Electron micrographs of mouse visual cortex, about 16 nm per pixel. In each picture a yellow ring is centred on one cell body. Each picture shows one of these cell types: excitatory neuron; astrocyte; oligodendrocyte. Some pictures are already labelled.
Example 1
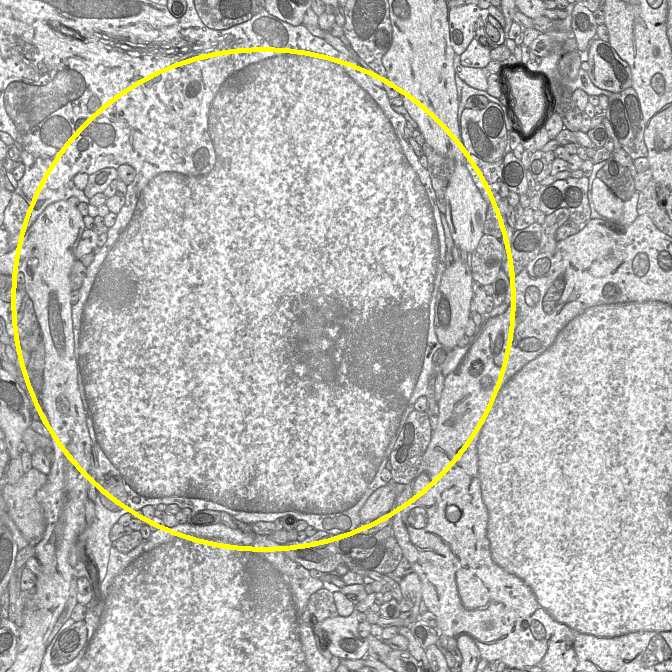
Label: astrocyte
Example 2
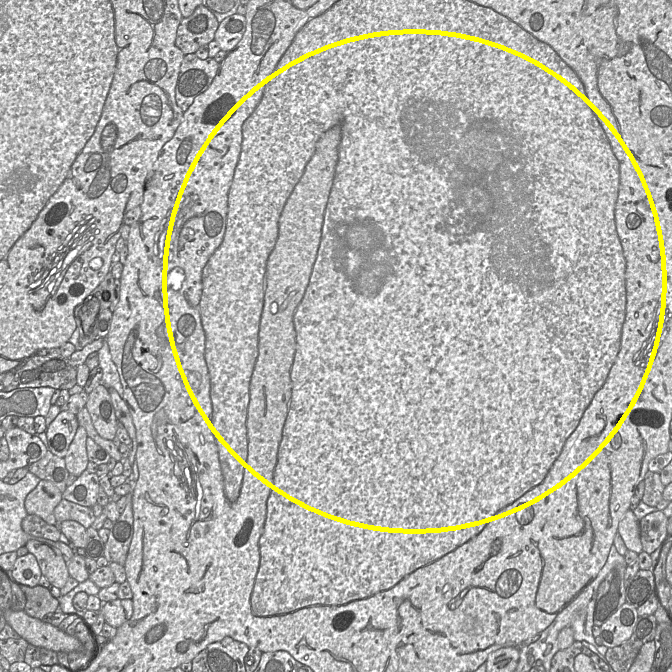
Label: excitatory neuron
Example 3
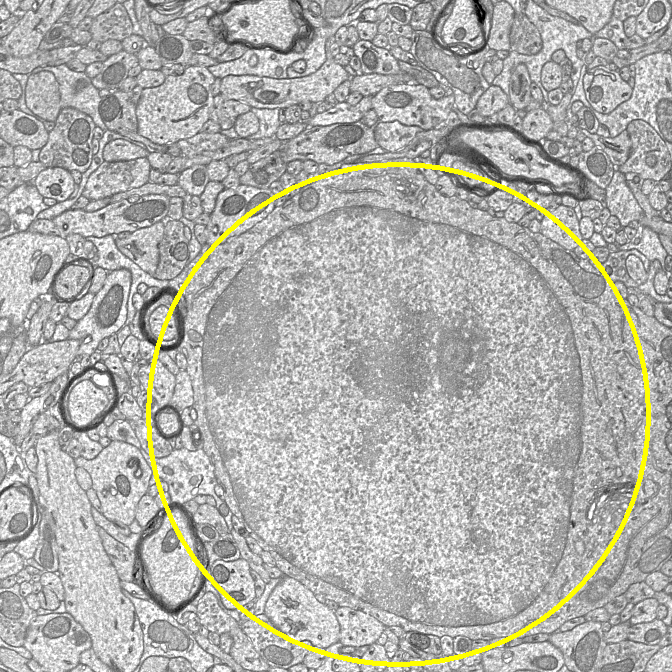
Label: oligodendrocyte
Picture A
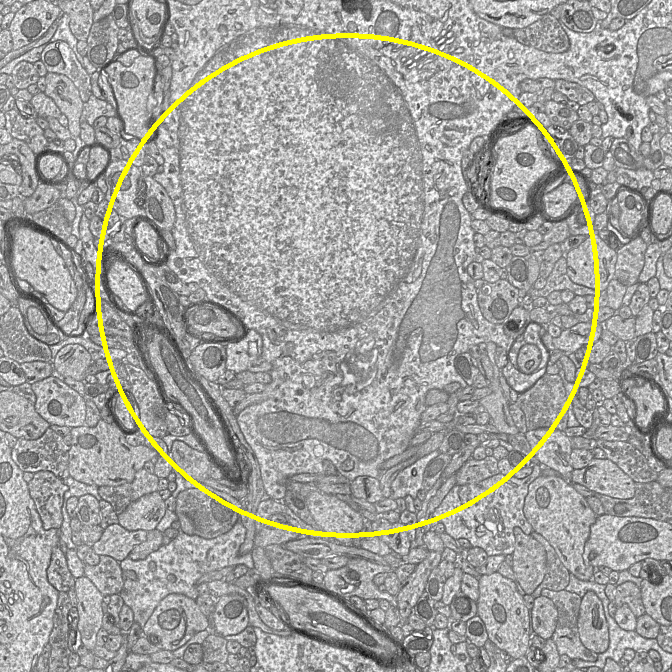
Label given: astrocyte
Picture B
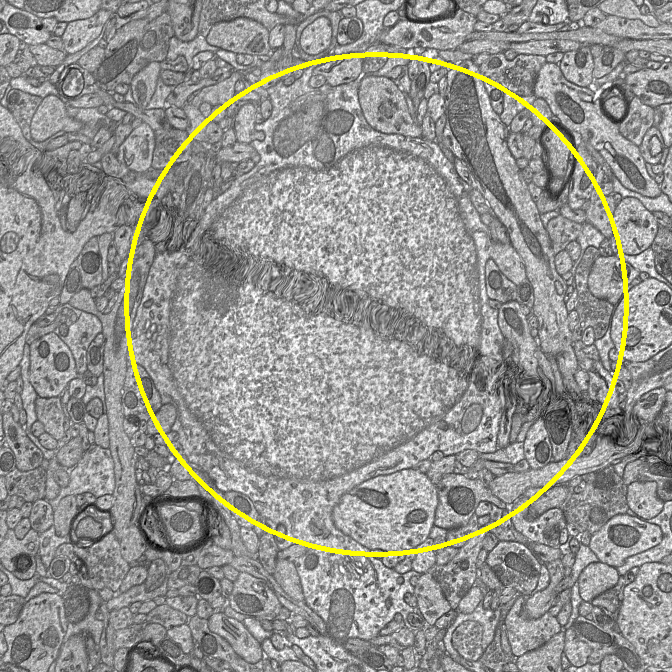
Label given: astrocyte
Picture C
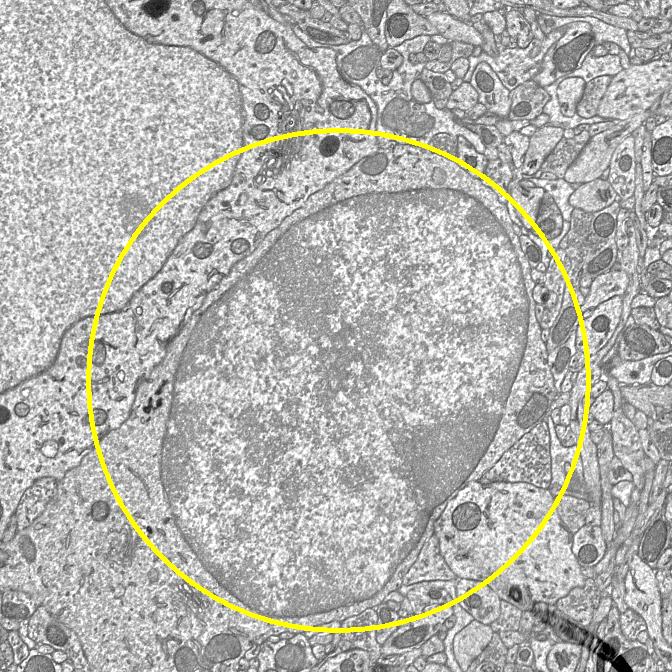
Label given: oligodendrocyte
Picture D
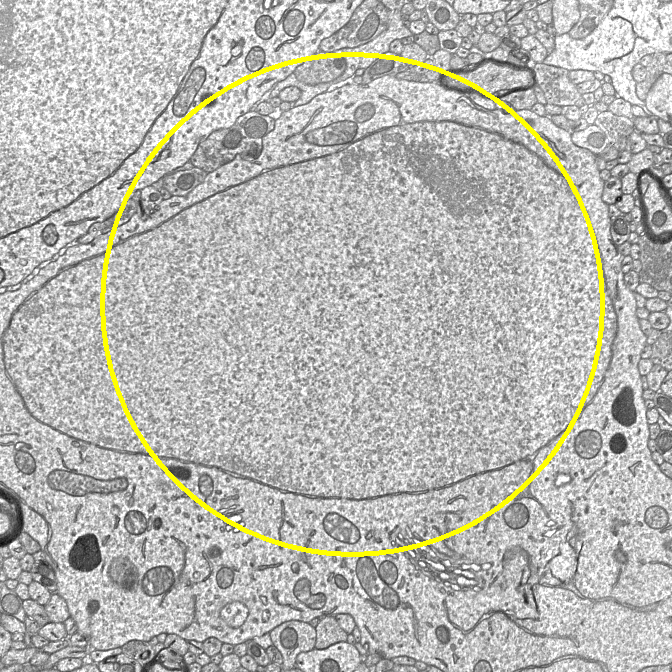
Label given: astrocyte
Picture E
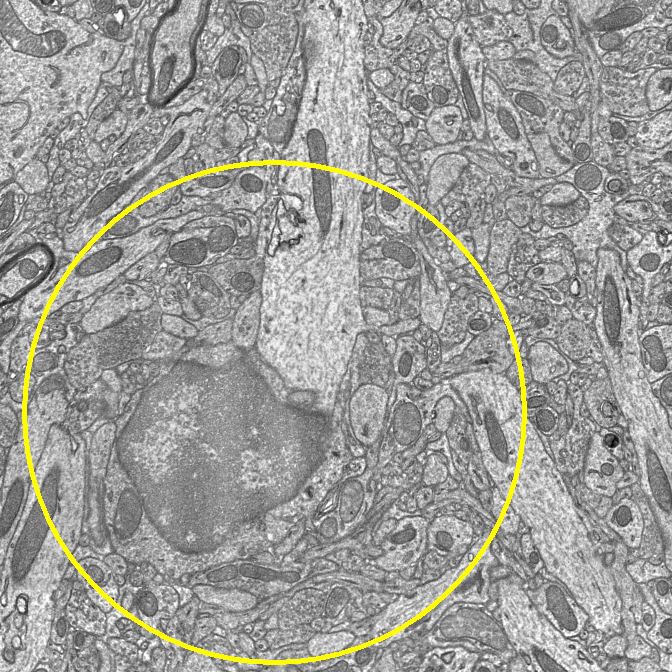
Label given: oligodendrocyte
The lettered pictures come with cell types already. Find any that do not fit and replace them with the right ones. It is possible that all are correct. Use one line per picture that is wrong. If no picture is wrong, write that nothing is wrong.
D: not astrocyte but excitatory neuron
